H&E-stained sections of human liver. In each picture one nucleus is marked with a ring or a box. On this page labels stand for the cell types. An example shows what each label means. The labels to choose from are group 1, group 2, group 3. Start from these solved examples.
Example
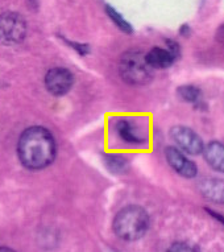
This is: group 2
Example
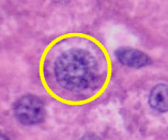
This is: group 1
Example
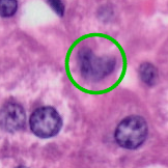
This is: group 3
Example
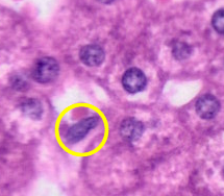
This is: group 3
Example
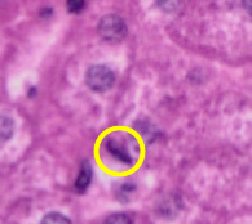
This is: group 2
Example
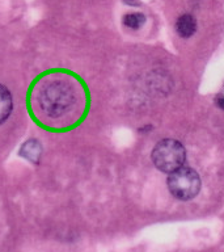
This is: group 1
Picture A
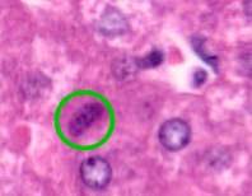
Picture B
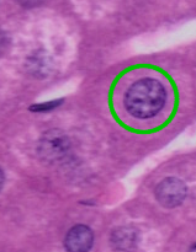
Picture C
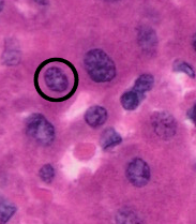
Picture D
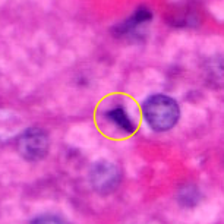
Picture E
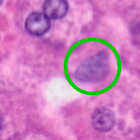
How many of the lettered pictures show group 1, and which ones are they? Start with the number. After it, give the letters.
Count: 2 (B, C)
